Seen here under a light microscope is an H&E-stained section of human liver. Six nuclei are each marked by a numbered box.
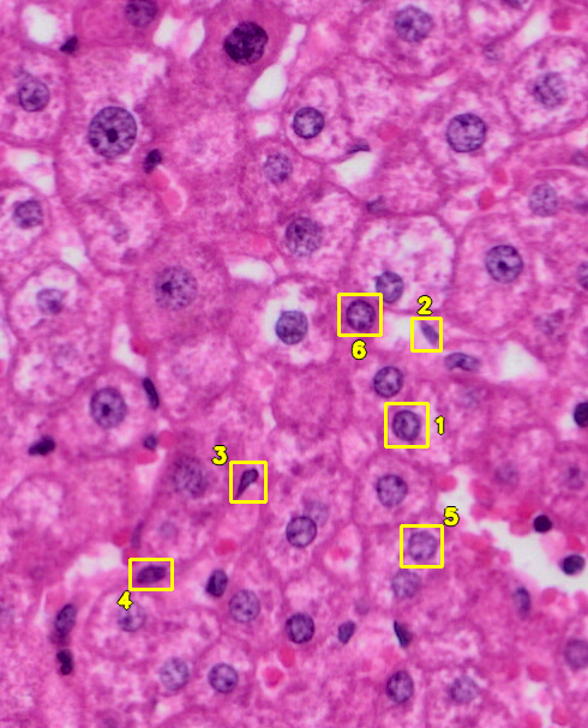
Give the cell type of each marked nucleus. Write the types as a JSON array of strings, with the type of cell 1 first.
["hepatocyte", "lymphocyte", "endothelial cell", "fibroblast or stellate cell", "hepatocyte", "hepatocyte"]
